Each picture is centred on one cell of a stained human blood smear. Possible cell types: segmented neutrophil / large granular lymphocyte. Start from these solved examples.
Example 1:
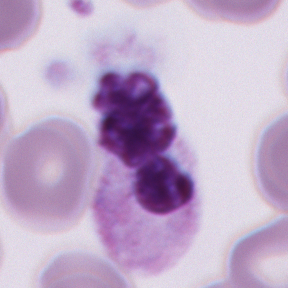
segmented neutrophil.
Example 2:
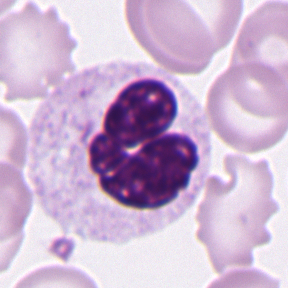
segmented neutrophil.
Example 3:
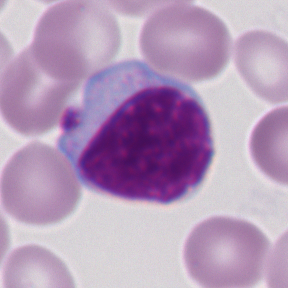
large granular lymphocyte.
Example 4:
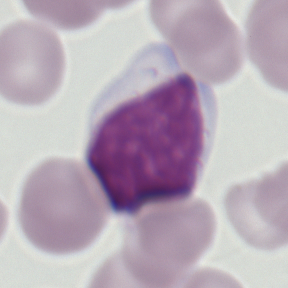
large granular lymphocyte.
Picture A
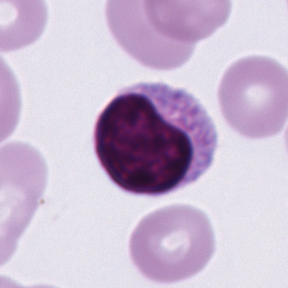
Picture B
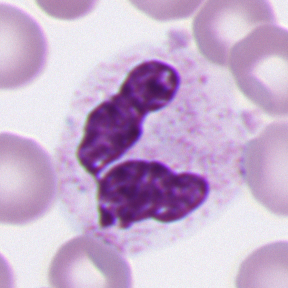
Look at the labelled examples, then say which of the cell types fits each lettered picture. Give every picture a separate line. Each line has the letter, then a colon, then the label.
A: large granular lymphocyte.
B: segmented neutrophil.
